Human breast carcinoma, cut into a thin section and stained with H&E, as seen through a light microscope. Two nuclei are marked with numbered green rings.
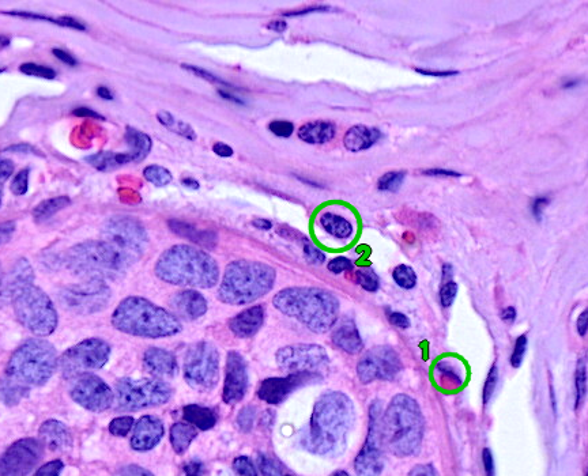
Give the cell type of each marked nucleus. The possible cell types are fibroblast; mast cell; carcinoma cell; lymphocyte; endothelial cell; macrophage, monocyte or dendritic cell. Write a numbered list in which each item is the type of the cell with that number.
1. endothelial cell
2. mast cell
